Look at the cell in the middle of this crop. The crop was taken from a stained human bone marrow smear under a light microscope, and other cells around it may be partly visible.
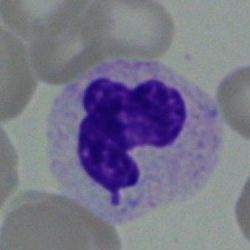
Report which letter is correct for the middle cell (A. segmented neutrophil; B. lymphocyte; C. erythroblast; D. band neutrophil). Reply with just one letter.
A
